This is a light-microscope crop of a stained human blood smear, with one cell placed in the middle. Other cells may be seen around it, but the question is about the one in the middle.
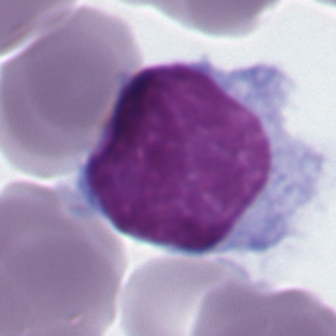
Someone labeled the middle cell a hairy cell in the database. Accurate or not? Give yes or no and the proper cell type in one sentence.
No, the central cell is designated a typical lymphocyte and not a hairy cell.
